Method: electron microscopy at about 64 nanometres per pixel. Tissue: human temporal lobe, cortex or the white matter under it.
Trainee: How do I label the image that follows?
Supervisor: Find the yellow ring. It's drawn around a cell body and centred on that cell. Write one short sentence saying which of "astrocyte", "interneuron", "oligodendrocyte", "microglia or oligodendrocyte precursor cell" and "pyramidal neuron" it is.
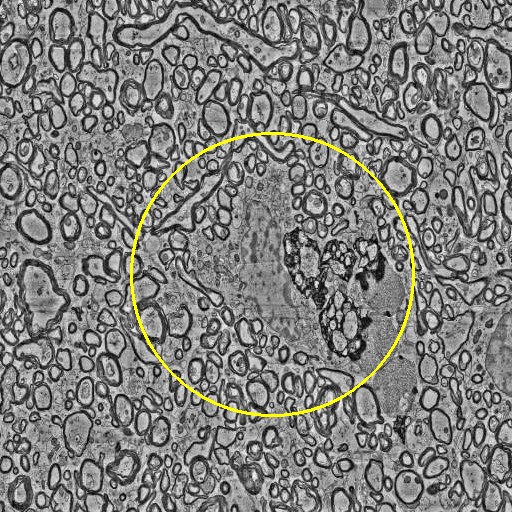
This is the cell body of an astrocyte.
